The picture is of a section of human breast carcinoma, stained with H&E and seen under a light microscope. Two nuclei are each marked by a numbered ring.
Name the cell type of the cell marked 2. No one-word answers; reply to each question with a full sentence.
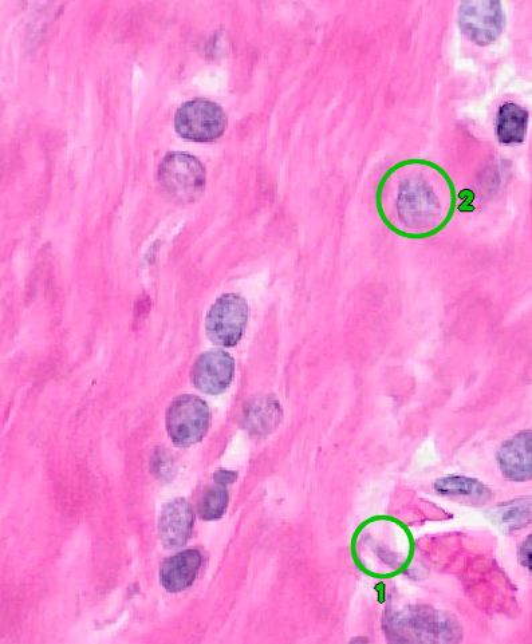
The cell assigned the number 2 is a fibroblast.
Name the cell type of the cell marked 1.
The cell referenced by the number 1 is an endothelial cell in this field.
